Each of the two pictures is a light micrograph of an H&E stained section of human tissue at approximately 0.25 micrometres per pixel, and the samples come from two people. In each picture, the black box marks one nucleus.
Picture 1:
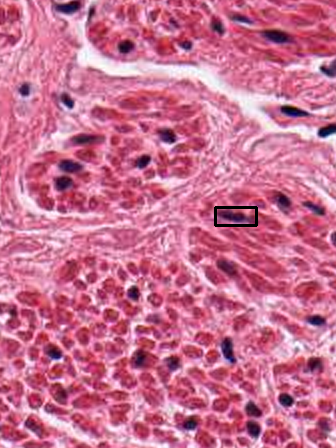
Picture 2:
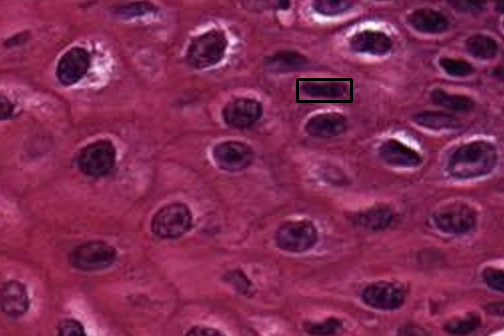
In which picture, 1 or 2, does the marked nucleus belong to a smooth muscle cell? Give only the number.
1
